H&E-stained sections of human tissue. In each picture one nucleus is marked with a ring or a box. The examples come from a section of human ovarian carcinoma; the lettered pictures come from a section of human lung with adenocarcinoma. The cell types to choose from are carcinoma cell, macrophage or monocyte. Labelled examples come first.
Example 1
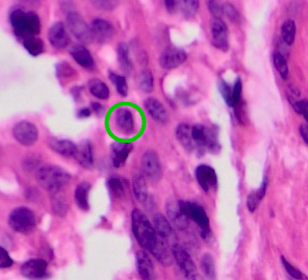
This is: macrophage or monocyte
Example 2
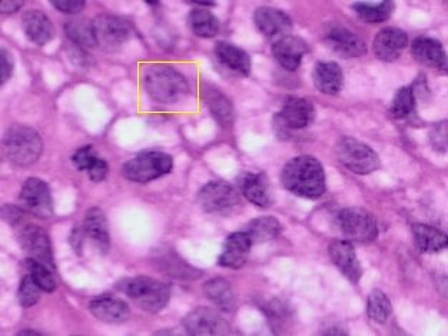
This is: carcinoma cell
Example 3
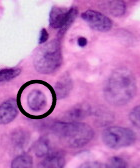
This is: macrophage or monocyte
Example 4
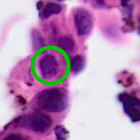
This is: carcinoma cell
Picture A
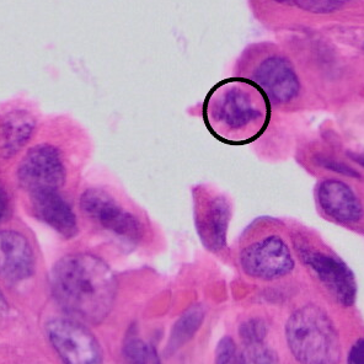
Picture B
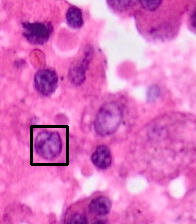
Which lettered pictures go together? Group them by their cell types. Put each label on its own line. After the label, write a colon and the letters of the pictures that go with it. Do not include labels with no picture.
carcinoma cell: A
macrophage or monocyte: B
